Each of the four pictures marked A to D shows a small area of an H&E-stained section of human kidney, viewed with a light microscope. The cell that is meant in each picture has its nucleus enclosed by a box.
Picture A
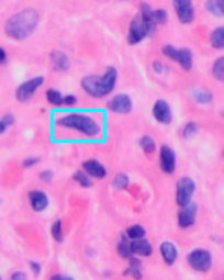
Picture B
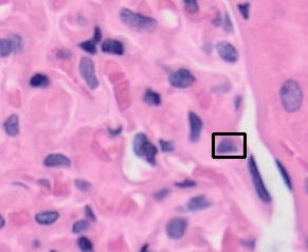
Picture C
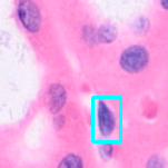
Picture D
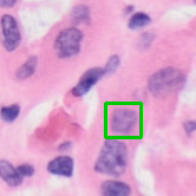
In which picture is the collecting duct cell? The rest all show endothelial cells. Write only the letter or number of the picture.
D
